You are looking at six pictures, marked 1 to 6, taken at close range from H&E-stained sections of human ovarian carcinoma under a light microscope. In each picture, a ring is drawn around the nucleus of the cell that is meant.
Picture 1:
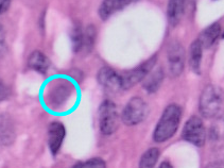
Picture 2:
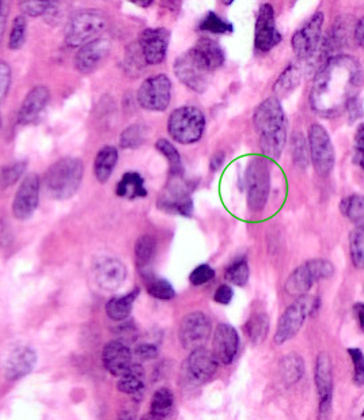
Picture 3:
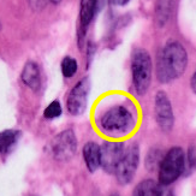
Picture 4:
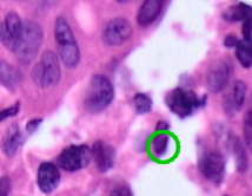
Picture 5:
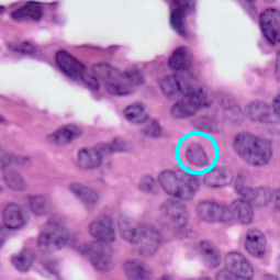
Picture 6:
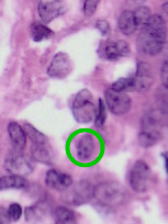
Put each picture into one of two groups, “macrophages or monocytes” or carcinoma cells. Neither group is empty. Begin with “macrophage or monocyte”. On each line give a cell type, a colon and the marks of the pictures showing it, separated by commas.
macrophage or monocyte: 3, 4, 5, 6
carcinoma cell: 1, 2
